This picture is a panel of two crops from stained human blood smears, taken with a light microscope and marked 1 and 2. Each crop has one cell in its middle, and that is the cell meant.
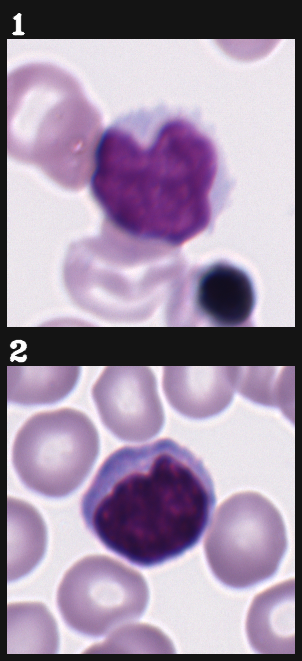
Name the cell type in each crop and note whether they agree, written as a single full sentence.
Yes, typical lymphocytes are depicted in both crops.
